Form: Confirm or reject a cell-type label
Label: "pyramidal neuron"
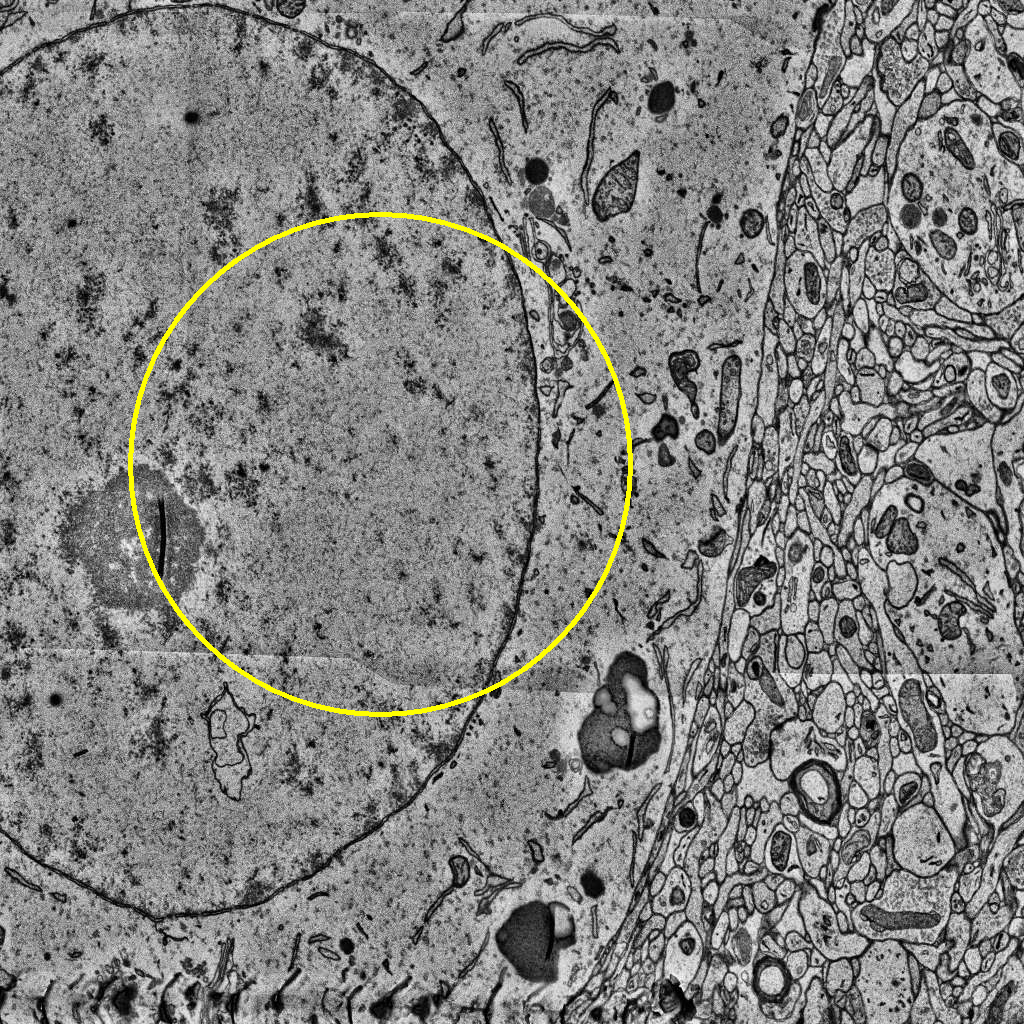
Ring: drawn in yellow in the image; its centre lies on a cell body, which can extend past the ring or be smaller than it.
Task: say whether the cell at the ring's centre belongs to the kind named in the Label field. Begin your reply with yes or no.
Yes, it belongs to that kind.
